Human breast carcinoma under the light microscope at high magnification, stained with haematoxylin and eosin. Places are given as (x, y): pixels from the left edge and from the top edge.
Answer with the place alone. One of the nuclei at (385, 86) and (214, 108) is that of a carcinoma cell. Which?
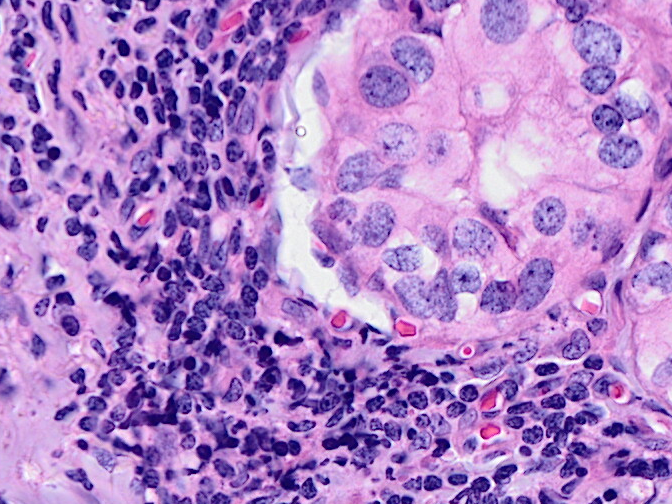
(385, 86)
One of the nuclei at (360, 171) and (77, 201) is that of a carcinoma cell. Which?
(360, 171)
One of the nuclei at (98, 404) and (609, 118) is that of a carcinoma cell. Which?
(609, 118)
